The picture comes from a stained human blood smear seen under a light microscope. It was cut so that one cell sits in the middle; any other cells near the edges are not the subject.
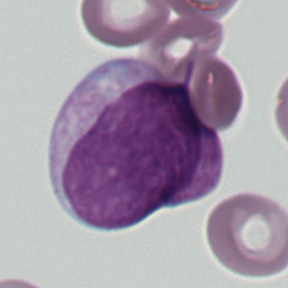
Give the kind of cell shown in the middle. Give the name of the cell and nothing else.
atypical promyelocyte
